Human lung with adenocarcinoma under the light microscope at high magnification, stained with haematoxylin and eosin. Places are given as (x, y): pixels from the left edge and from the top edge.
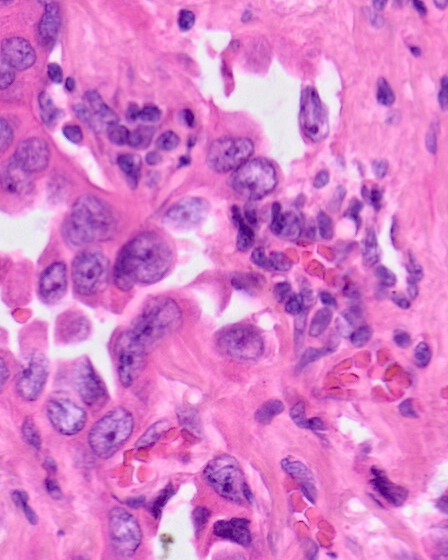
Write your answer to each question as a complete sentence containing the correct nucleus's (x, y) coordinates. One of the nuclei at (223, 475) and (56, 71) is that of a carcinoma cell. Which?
The nucleus at position (223, 475) belongs to a carcinoma cell.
